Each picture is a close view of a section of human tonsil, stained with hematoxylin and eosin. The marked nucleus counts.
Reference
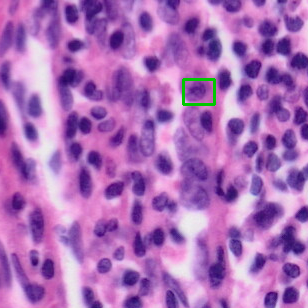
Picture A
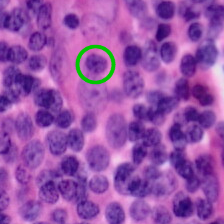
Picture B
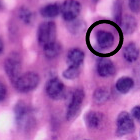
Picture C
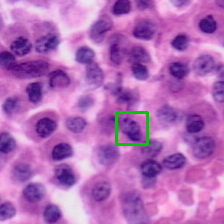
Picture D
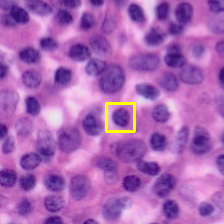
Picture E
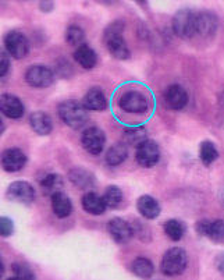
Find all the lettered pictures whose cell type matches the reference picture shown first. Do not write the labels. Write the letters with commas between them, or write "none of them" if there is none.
A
